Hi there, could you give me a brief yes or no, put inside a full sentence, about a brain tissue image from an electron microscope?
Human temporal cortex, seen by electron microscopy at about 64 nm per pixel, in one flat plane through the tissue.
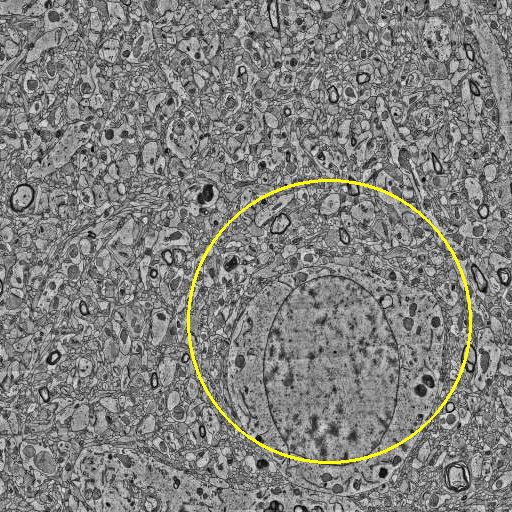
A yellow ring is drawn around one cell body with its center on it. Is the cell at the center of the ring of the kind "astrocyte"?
No, the cell found at the center of the yellow ring is of a different kind.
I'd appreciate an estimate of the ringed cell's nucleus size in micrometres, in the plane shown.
About 12 micrometres by about 9 micrometres in this plane.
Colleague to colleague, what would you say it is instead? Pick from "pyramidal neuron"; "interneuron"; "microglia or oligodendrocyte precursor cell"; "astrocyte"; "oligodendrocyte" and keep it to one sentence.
It is a pyramidal neuron that the ring is centred on.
